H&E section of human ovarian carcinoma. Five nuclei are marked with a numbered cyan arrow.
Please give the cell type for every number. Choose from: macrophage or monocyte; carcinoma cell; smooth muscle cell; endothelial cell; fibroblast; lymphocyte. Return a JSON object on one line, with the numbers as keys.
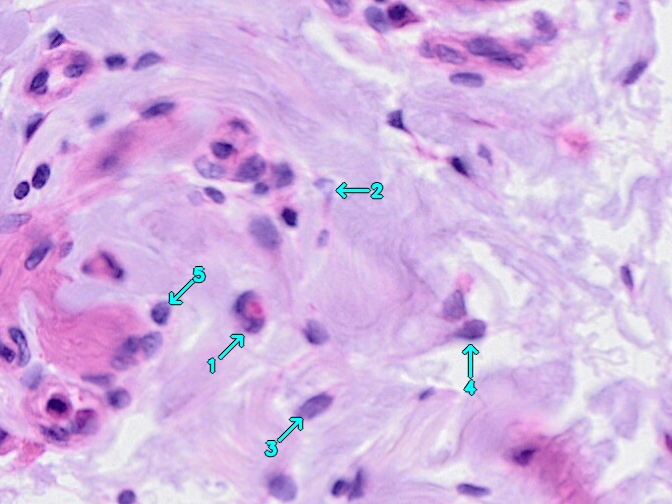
{"1": "endothelial cell", "2": "fibroblast", "3": "fibroblast", "4": "fibroblast", "5": "lymphocyte"}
